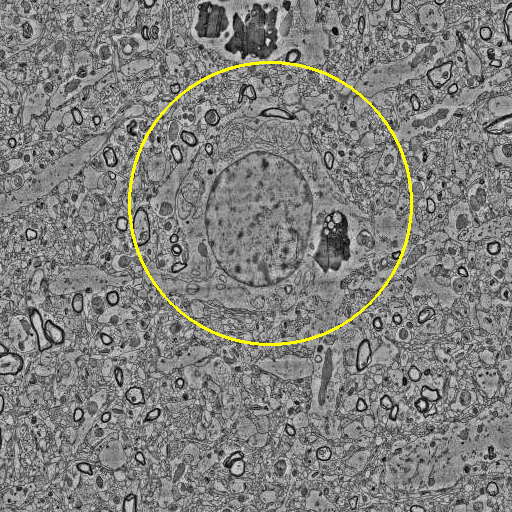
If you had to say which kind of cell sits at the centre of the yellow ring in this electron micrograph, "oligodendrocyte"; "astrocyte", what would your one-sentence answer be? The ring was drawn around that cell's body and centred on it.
The cell sitting at the centre of the ring is an astrocyte.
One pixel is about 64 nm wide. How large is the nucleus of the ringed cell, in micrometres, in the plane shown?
The nucleus has a long axis of about 9 micrometres and a short axis of about 7 micrometres in this plane.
